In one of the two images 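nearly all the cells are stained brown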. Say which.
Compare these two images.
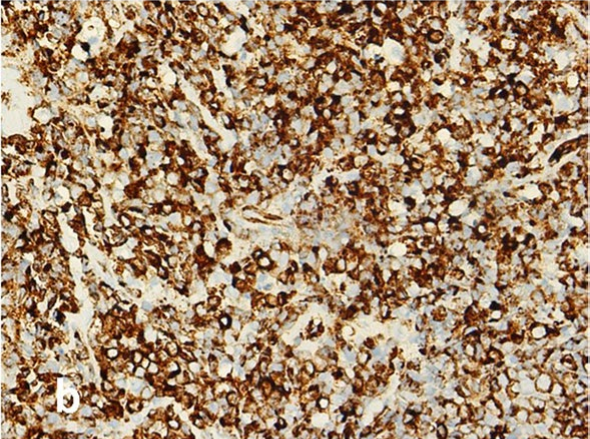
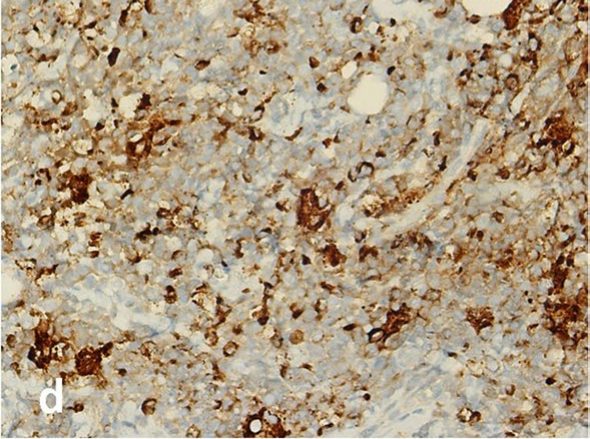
The first image.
